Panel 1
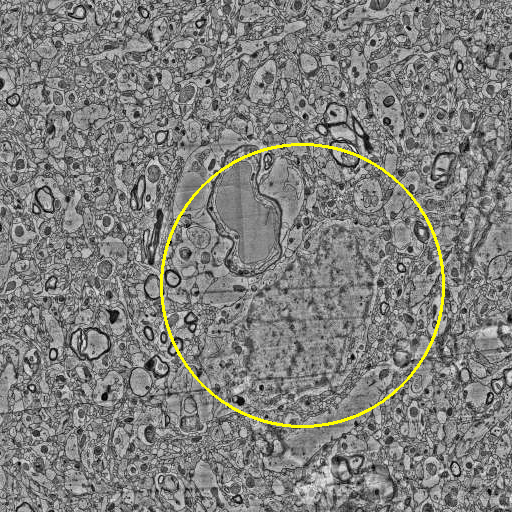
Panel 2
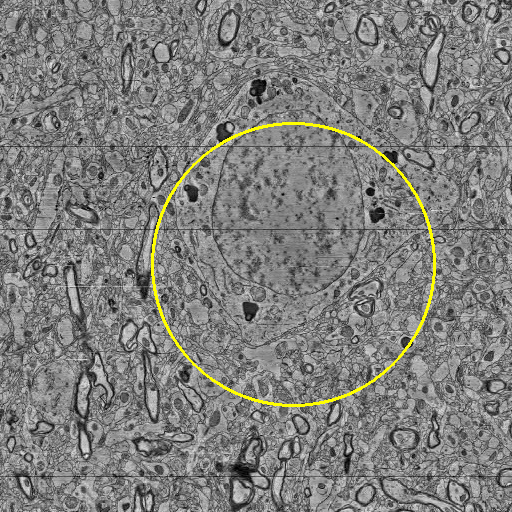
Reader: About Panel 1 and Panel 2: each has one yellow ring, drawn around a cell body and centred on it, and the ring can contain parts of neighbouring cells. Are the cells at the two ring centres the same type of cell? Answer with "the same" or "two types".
two types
